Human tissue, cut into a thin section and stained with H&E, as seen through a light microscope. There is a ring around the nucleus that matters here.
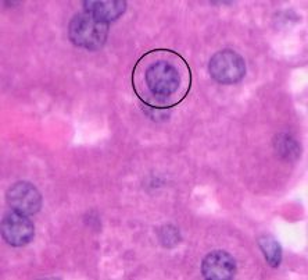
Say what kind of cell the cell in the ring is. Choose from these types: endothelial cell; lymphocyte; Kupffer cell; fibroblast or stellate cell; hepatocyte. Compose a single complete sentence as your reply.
In the tissue at hand, the cell in the ring is a hepatocyte.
